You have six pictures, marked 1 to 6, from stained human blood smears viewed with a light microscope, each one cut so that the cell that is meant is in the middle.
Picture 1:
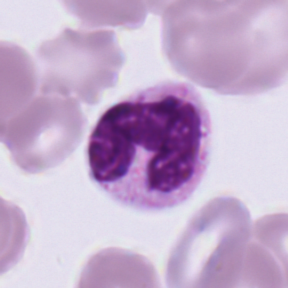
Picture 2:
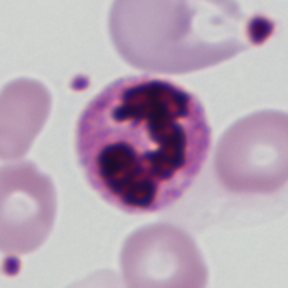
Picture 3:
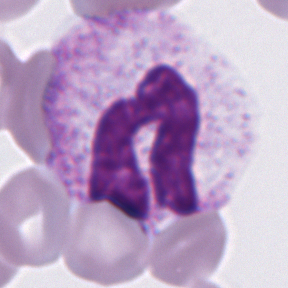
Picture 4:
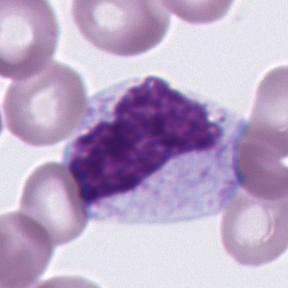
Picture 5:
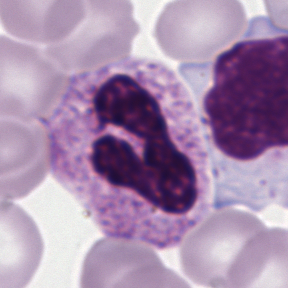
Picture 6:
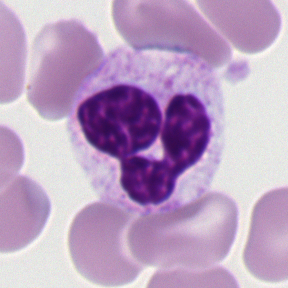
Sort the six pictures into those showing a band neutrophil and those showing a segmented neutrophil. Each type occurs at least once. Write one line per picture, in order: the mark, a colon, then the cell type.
1: band neutrophil
2: segmented neutrophil
3: segmented neutrophil
4: band neutrophil
5: segmented neutrophil
6: segmented neutrophil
